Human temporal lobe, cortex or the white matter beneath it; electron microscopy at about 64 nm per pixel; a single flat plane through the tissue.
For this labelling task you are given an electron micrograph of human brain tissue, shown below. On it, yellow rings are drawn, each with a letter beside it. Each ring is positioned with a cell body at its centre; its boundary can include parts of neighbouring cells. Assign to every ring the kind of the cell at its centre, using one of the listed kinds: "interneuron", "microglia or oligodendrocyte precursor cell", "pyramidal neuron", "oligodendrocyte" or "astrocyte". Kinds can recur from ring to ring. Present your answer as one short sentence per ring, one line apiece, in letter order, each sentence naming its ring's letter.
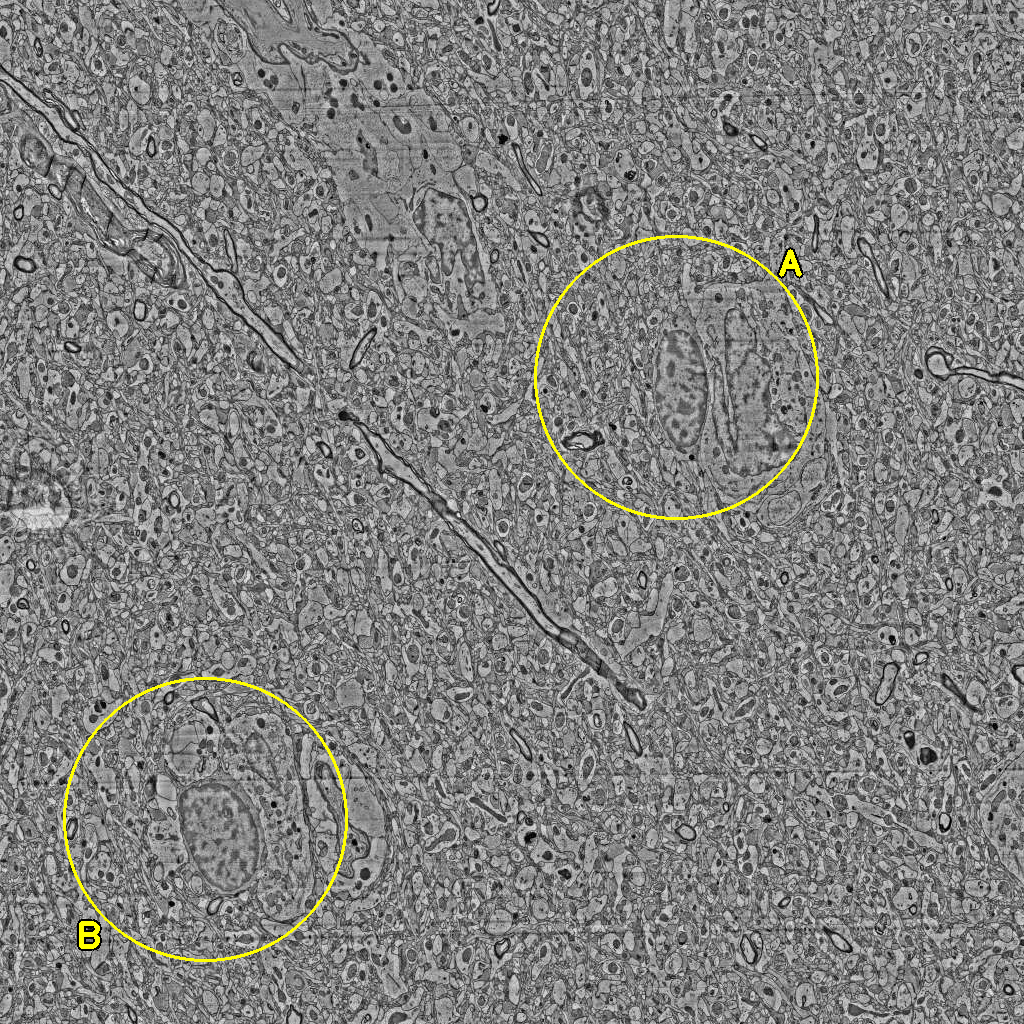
The cell in the middle of ring A is an oligodendrocyte.
The cell in the middle of ring B is an oligodendrocyte.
